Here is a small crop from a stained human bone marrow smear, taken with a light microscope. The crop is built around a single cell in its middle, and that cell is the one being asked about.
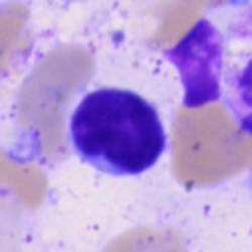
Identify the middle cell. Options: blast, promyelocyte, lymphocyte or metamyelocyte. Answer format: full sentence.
The cell that lies at the centre of the crop is a lymphocyte.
